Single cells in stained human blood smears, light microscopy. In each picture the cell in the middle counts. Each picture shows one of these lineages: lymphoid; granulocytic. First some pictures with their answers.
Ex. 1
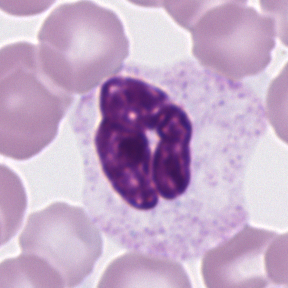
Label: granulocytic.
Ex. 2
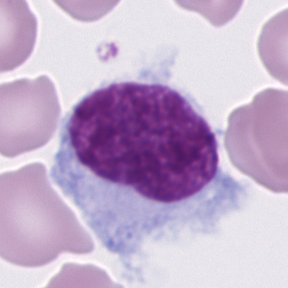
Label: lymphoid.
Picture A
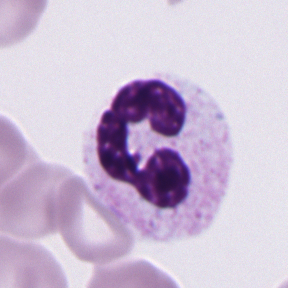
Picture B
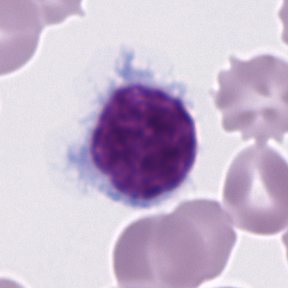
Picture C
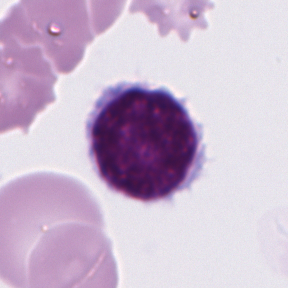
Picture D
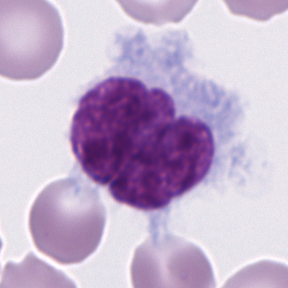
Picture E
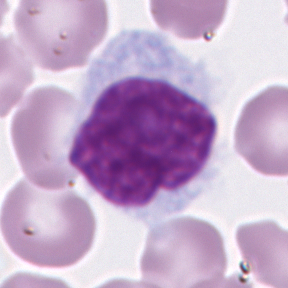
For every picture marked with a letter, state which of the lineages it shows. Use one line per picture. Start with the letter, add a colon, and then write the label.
A: granulocytic.
B: lymphoid.
C: lymphoid.
D: lymphoid.
E: lymphoid.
